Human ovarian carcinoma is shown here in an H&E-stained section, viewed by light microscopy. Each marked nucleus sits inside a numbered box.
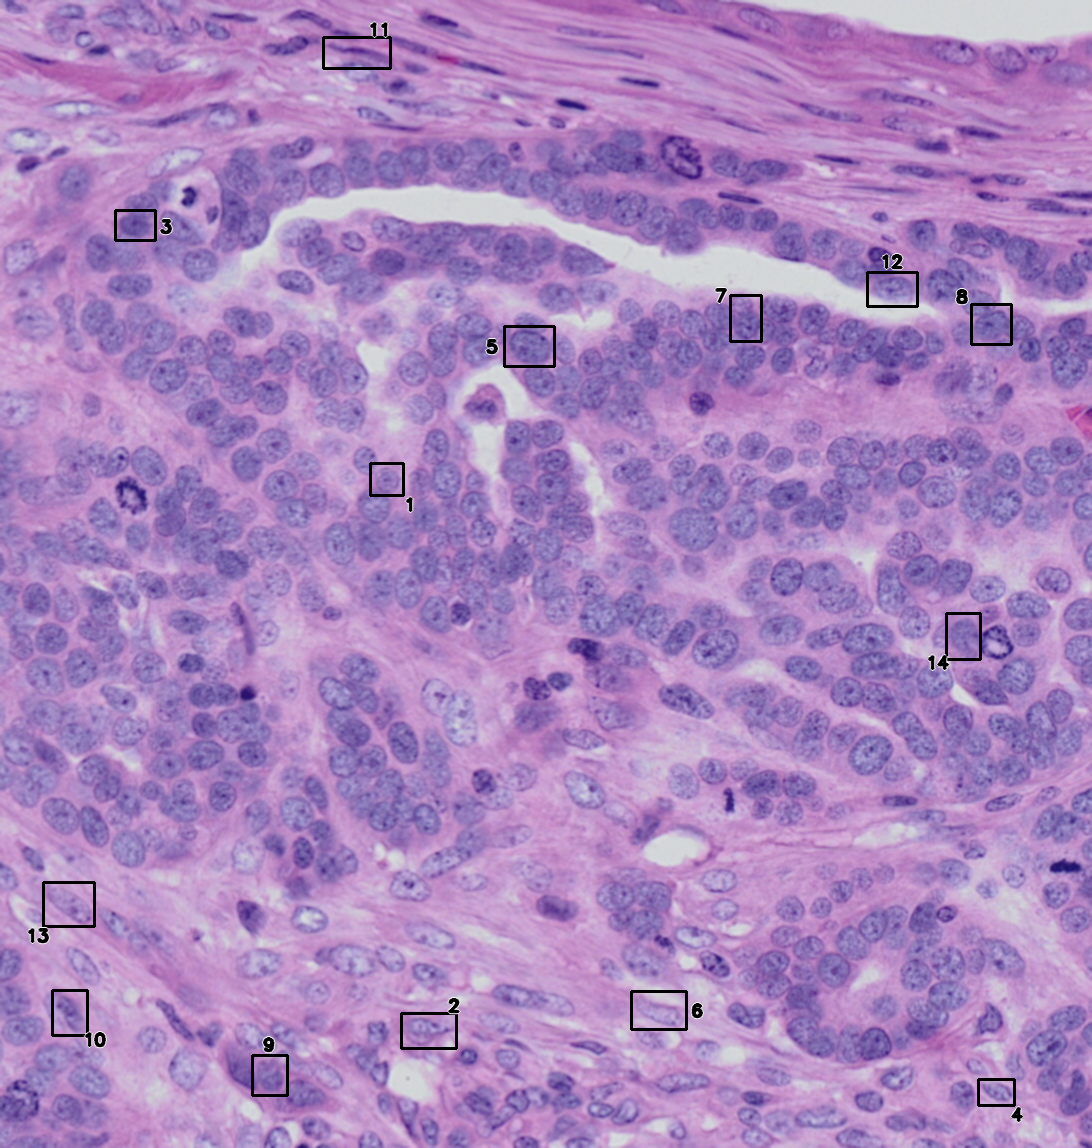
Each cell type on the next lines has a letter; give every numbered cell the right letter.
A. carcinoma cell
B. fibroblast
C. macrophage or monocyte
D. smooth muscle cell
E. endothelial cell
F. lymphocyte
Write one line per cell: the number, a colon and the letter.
1: A
2: B
3: A
4: B
5: A
6: B
7: A
8: A
9: A
10: B
11: B
12: A
13: B
14: A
